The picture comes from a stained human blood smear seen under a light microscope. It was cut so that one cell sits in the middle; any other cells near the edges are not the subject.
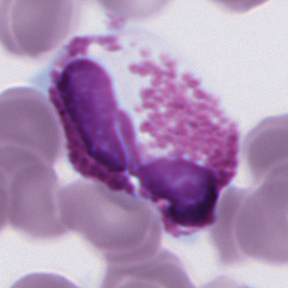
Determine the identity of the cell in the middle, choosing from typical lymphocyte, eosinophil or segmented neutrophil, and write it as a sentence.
The central cell, amid any neighbouring cells, is an eosinophil.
